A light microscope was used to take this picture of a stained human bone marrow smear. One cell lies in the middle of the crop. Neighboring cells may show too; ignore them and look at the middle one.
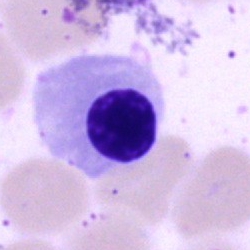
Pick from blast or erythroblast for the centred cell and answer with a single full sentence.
The cell at the central position in this crop is an erythroblast.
